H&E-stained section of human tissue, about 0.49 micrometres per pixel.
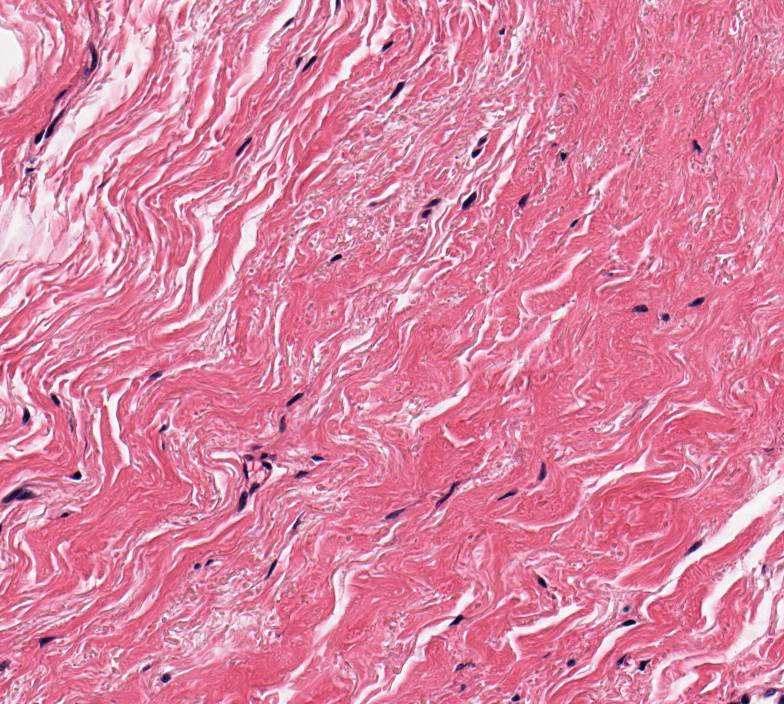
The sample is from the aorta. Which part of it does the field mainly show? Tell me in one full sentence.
The part of tissue on this slide is termed tunica adventitia.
